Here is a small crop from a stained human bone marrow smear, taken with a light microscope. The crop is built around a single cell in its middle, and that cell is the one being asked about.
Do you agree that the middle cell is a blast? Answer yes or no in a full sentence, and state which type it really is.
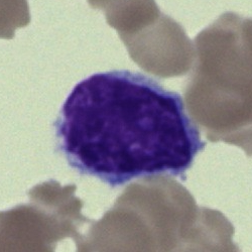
No, the cell at the centre is a lymphocyte, which rules out a blast.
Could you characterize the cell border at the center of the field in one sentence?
A ragged or projecting edge replaces the smooth outline in this cell.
